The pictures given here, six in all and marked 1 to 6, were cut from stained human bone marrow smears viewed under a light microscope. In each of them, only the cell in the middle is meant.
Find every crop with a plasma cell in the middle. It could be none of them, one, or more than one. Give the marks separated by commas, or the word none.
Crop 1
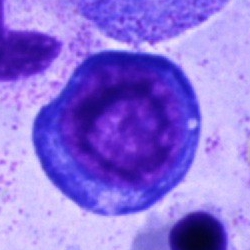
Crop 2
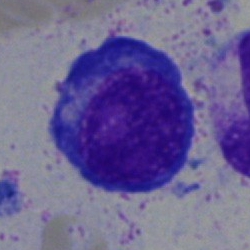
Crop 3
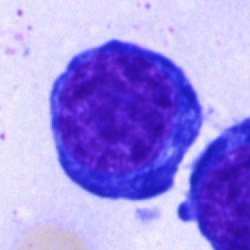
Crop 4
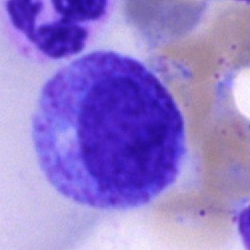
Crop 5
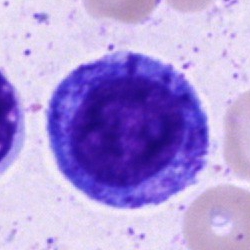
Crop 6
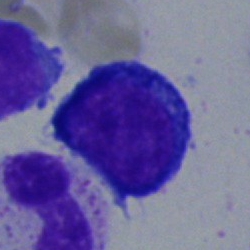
none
